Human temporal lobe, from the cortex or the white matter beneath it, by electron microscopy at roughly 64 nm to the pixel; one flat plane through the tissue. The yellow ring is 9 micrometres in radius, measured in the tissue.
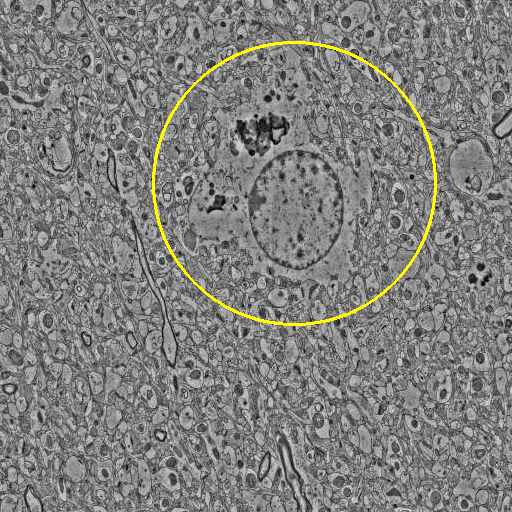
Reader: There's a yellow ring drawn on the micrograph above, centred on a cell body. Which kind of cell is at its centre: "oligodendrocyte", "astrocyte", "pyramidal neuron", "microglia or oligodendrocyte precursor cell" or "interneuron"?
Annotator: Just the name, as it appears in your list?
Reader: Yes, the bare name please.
astrocyte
